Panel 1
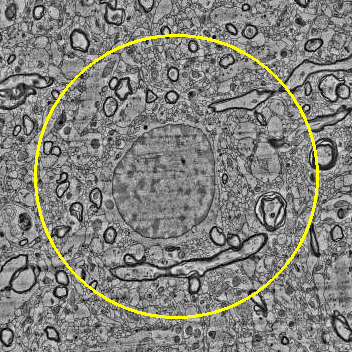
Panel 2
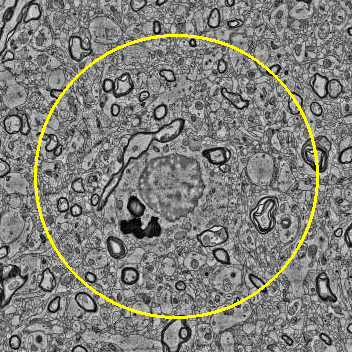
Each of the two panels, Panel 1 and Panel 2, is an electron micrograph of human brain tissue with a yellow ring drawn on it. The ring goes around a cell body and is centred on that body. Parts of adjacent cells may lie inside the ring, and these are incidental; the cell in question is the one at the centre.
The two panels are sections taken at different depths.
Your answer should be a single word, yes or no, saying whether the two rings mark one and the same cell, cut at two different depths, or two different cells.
yes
